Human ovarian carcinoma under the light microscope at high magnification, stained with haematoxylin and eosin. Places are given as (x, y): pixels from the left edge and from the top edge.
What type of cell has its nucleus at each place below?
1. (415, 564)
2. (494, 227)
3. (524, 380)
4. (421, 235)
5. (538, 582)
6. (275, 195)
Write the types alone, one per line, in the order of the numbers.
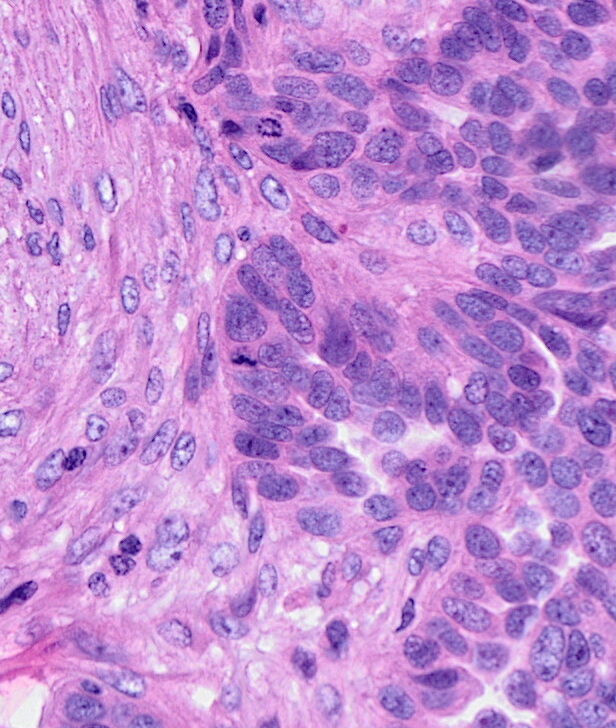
fibroblast
carcinoma cell
carcinoma cell
fibroblast
carcinoma cell
fibroblast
